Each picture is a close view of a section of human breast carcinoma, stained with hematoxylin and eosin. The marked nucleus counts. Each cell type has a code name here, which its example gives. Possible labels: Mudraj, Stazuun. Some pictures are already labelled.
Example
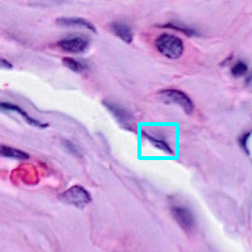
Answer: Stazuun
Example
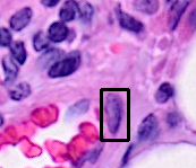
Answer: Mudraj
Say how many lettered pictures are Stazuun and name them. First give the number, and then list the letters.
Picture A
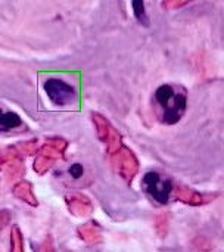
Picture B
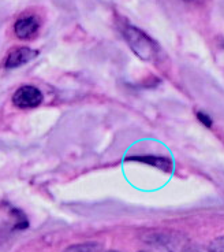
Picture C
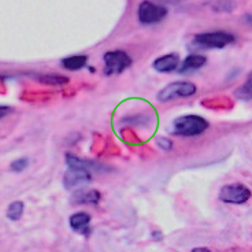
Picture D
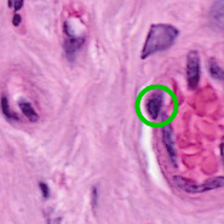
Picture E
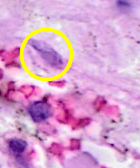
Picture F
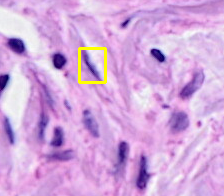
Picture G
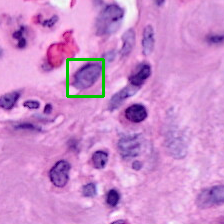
Count: 4 (A, B, E, F)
